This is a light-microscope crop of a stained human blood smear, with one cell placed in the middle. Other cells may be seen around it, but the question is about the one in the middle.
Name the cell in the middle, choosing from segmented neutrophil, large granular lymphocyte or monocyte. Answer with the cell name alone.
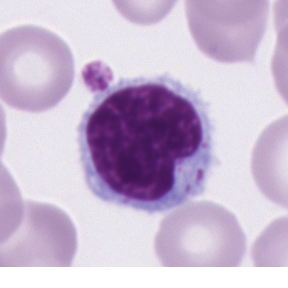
large granular lymphocyte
